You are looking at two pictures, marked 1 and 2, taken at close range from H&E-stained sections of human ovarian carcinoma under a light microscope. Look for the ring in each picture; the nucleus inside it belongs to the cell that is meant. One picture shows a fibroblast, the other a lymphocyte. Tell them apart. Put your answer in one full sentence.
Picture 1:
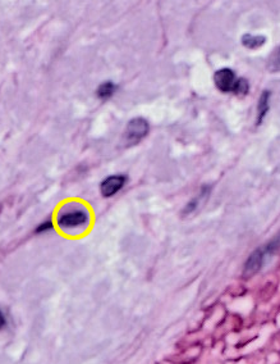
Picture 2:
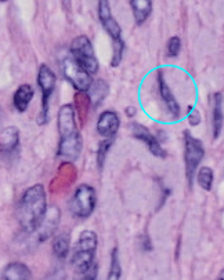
Picture 1 shows a lymphocyte and picture 2 shows a fibroblast.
